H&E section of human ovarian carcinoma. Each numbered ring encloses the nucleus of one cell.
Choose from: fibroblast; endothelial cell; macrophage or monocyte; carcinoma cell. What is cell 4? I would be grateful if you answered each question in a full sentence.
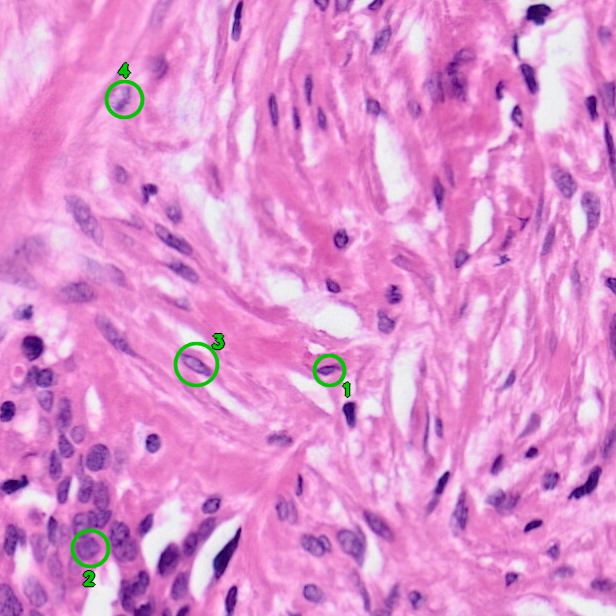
Nucleus 4 in this section belongs to a fibroblast.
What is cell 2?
The cell pointed out as number 2 is a carcinoma cell.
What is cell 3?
Cell 3, among those numbered, is a fibroblast.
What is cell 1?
The cell referenced by the number 1 is a fibroblast in this field.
